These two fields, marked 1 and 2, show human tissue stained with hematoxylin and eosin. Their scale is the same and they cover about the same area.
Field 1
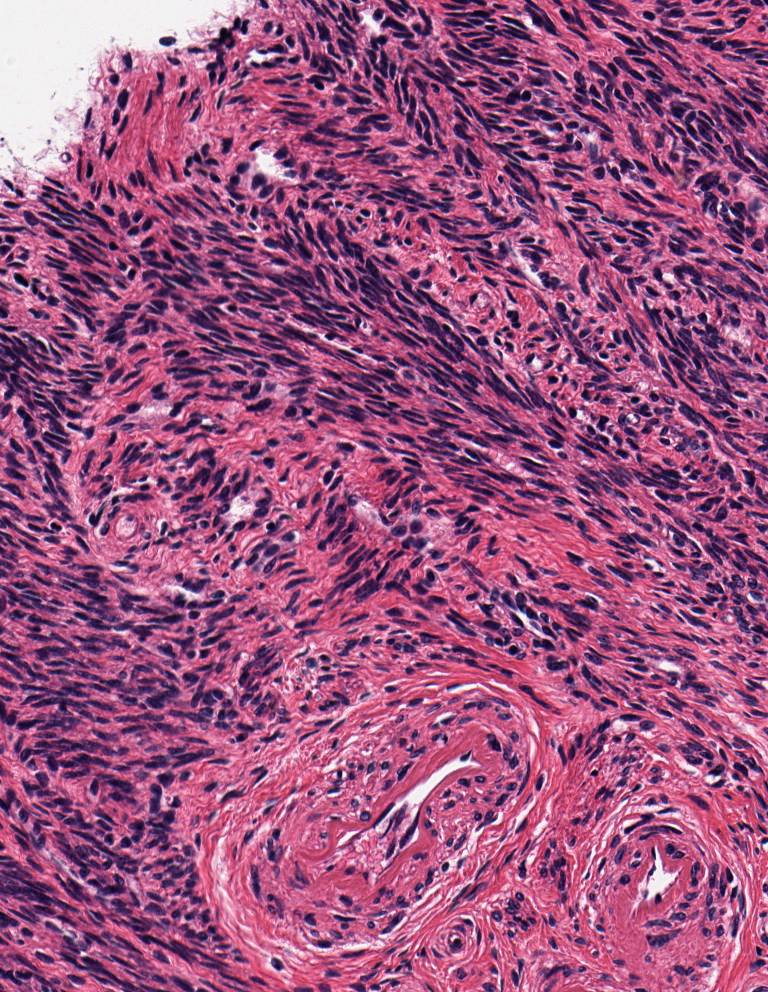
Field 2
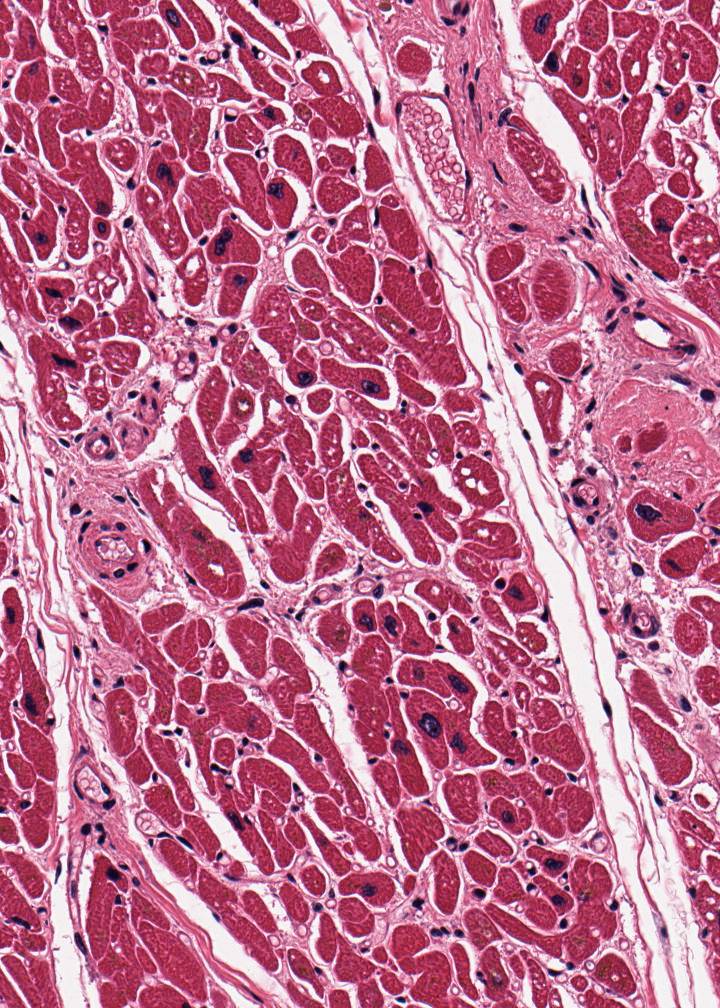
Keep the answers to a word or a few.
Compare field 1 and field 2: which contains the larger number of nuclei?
1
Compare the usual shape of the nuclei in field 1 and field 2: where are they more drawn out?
1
